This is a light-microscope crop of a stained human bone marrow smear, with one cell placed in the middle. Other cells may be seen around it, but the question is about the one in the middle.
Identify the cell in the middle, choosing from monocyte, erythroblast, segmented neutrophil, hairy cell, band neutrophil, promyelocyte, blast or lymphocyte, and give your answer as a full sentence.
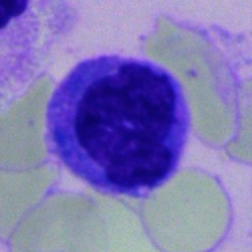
The cell in the exact centre of the crop is a monocyte.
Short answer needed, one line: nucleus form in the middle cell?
A single compact nucleus is present, shaped round, oval or like a kidney.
